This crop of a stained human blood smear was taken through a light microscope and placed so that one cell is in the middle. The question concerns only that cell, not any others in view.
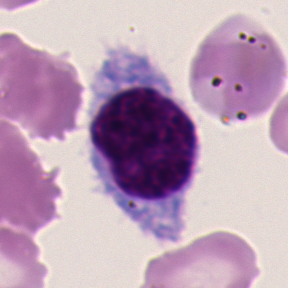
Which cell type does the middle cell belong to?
hairy cell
